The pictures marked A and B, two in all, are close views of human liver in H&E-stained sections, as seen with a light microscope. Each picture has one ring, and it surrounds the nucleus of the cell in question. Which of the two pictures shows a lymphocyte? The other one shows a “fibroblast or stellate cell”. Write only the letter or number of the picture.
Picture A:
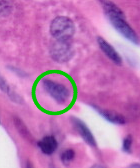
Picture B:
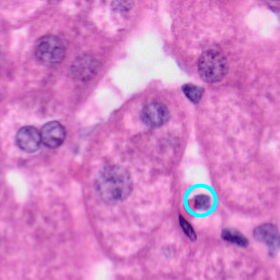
B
